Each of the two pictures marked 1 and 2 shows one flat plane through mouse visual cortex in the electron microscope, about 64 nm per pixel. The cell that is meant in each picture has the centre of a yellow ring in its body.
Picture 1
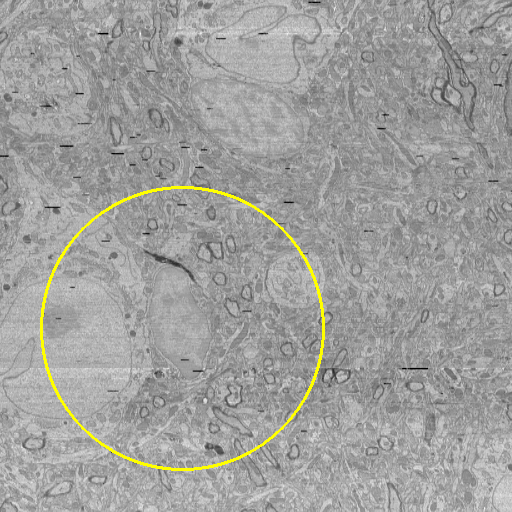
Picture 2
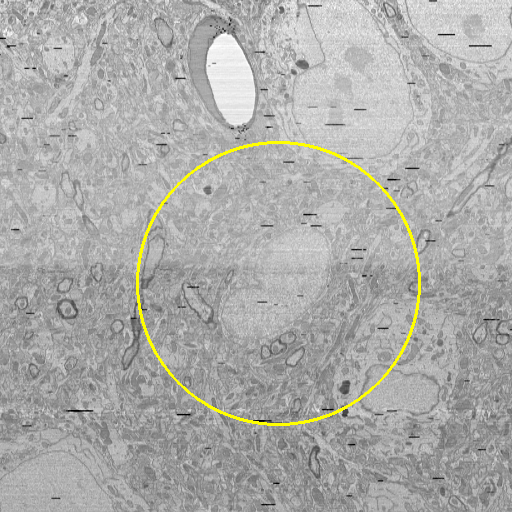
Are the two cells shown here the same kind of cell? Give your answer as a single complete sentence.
No, they differ: the cell is a microglial cell in picture 1 and an astrocyte in picture 2.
